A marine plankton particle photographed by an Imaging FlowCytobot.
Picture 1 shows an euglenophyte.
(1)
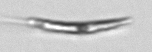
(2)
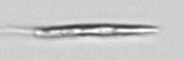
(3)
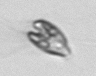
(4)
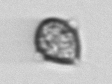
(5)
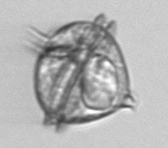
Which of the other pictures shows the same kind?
Picture 2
